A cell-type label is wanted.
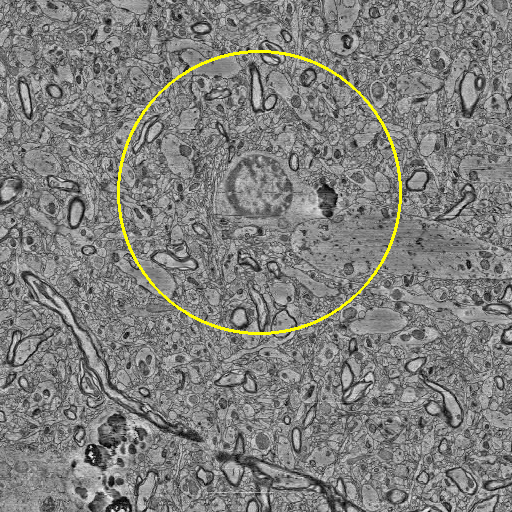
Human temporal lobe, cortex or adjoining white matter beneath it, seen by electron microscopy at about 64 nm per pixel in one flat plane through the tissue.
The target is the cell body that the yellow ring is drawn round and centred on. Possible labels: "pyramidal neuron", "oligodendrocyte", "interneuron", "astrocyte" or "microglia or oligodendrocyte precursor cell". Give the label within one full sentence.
Of the labels offered, the cell in the middle of the yellow ring is an oligodendrocyte.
